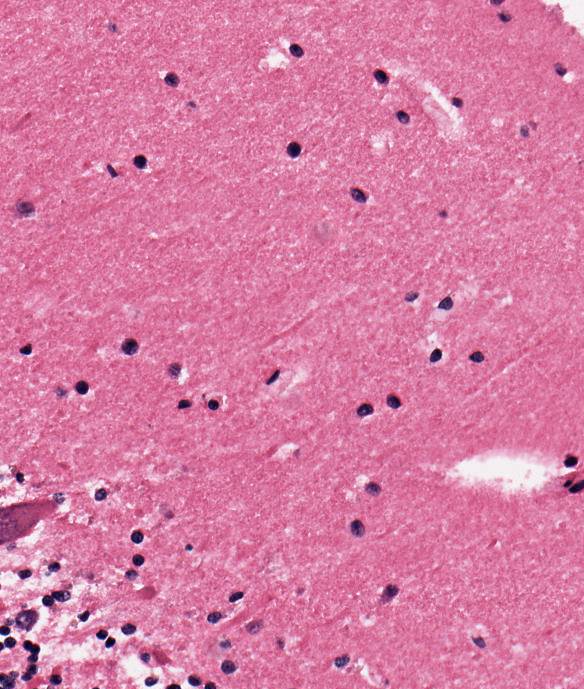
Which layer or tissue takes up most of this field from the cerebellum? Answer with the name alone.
molecular layer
